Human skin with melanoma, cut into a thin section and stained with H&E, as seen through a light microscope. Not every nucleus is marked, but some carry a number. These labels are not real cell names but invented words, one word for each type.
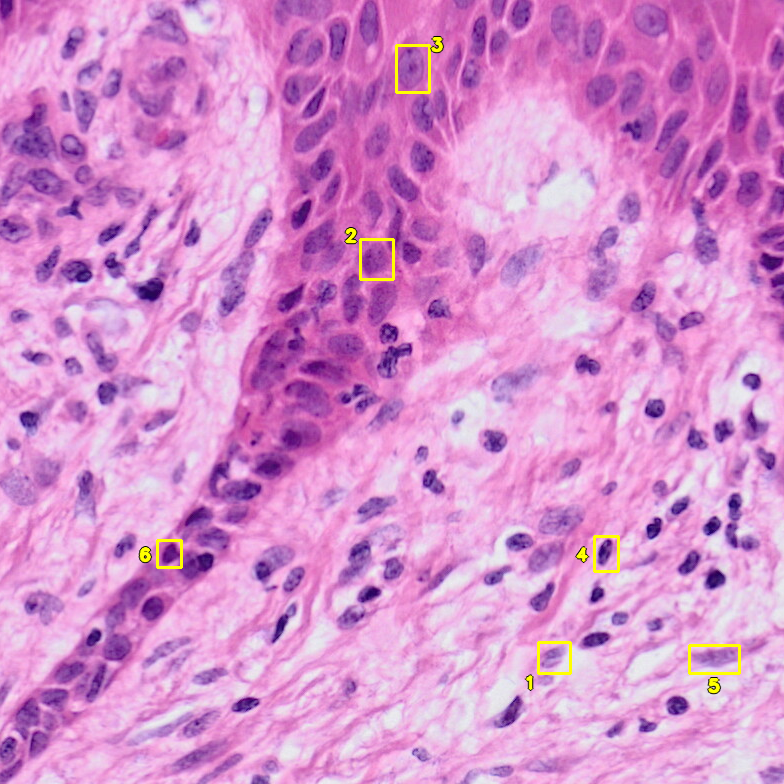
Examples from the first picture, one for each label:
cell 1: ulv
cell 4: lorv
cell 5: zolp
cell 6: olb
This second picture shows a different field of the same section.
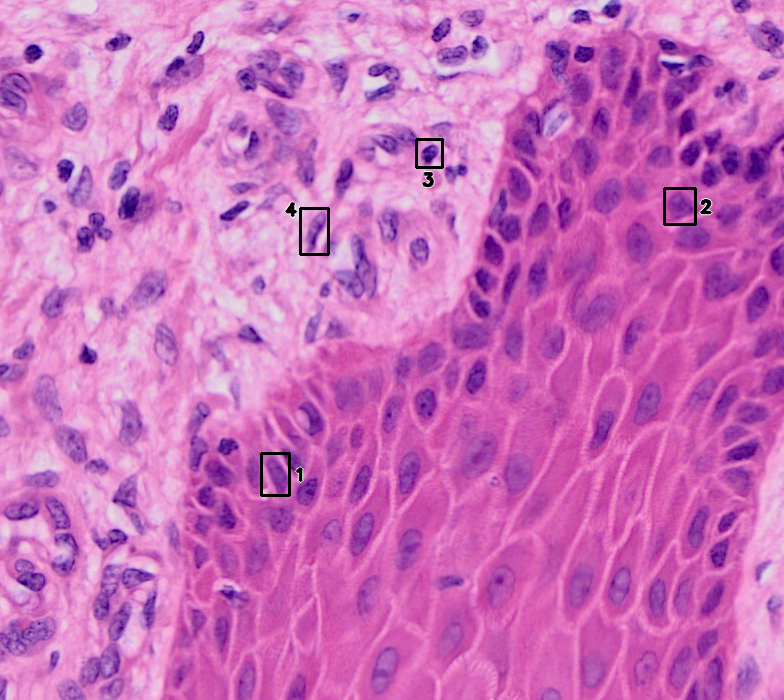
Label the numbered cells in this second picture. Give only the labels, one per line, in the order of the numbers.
olb
olb
lorv
zolp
